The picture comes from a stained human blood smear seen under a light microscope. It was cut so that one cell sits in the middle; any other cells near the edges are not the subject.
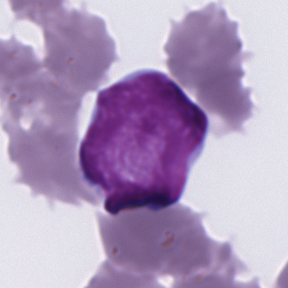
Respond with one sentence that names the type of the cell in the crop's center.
The cell centered in this field of view is a myeloblast.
